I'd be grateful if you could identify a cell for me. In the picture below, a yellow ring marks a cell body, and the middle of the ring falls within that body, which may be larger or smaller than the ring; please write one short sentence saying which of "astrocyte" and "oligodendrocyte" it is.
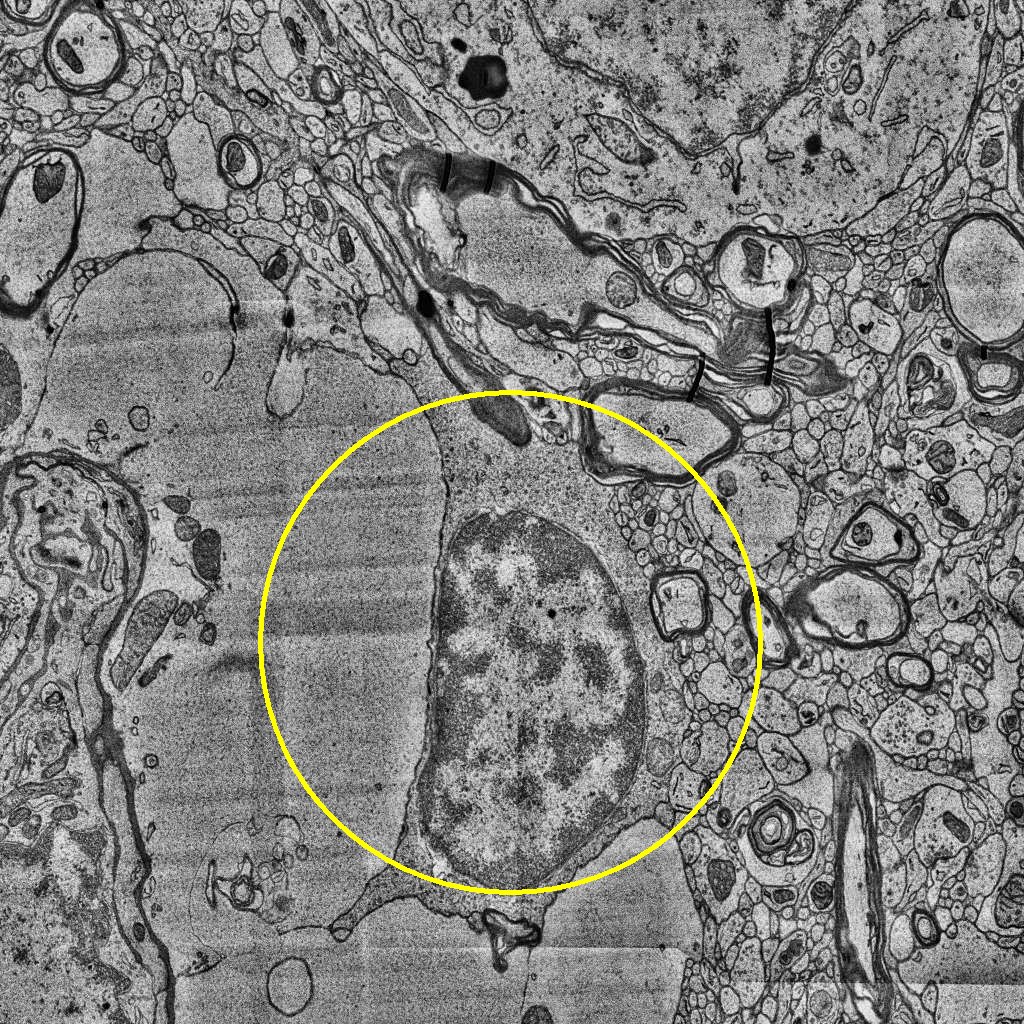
The cell under the ring's centre is an oligodendrocyte.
